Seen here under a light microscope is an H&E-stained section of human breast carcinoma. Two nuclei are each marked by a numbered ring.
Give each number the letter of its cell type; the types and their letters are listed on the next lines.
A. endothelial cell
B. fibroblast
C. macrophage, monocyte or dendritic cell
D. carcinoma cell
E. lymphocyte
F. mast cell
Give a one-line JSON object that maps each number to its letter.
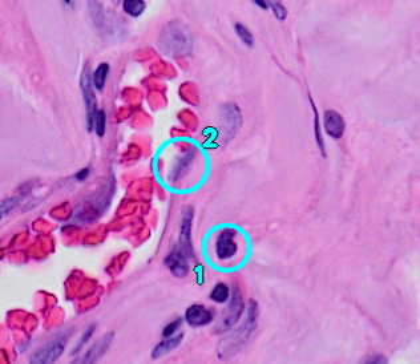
{"1": "E", "2": "A"}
